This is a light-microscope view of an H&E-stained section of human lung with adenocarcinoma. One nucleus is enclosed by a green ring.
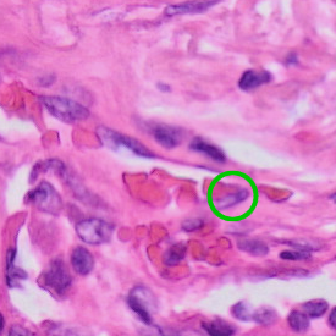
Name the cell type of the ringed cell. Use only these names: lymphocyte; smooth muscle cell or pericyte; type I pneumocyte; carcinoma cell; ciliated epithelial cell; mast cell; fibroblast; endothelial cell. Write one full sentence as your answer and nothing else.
It is an endothelial cell that the ringed cell represents.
